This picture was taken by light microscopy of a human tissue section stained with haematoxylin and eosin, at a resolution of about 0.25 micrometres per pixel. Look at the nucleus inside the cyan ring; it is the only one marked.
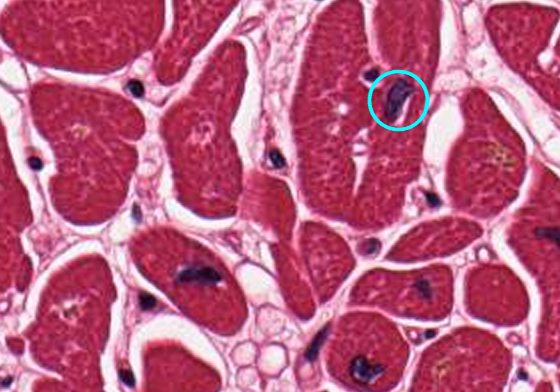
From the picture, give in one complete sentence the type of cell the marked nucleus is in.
The marked nucleus lies within a cardiomyocyte.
